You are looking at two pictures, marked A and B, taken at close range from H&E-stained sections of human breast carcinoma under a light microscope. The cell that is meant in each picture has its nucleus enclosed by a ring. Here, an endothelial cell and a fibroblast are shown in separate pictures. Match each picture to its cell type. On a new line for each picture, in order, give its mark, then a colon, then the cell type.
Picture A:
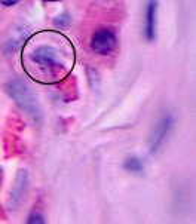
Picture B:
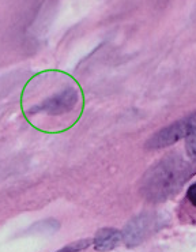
A: endothelial cell
B: fibroblast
